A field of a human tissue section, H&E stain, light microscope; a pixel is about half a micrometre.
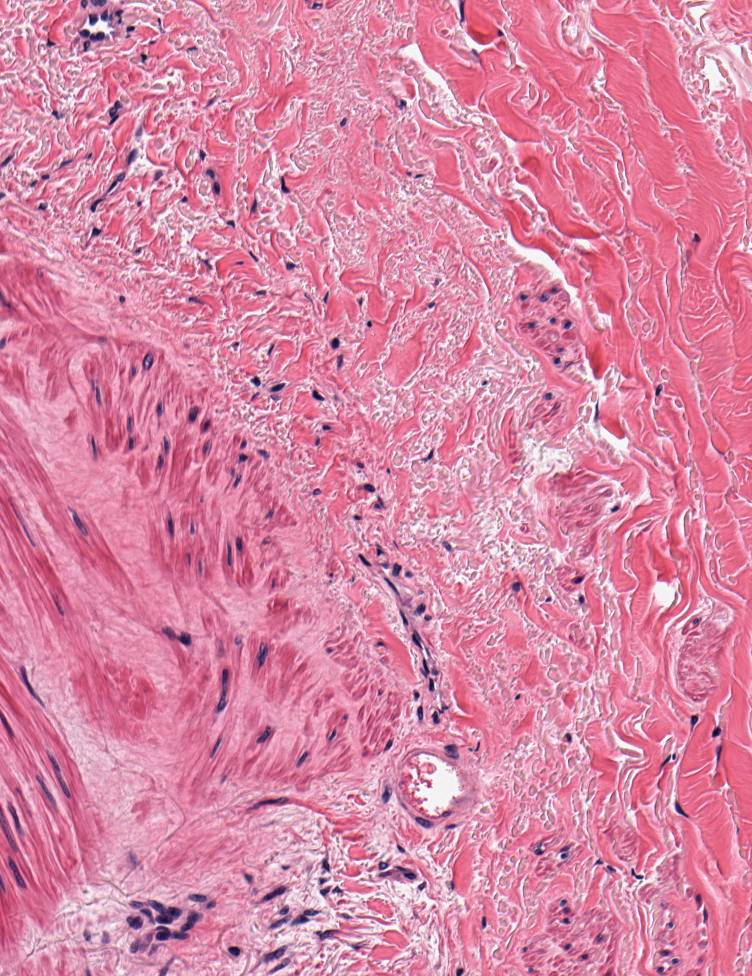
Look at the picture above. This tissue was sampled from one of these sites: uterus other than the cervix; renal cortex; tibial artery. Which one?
tibial artery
